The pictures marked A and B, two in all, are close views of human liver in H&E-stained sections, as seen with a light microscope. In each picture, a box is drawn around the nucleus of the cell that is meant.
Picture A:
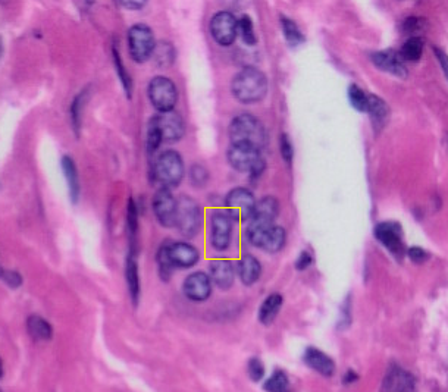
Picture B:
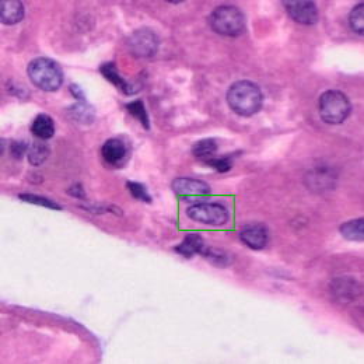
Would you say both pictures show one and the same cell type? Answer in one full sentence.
Yes, both are cholangiocytes.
